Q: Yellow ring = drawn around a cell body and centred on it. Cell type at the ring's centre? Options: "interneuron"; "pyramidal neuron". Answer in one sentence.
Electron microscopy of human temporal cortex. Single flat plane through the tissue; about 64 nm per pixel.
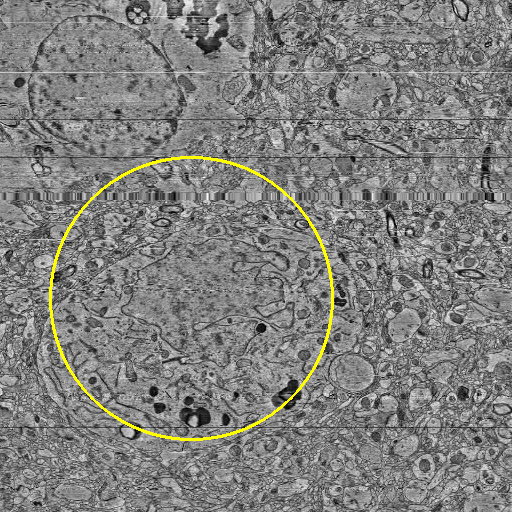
Centred in the ring is an interneuron.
